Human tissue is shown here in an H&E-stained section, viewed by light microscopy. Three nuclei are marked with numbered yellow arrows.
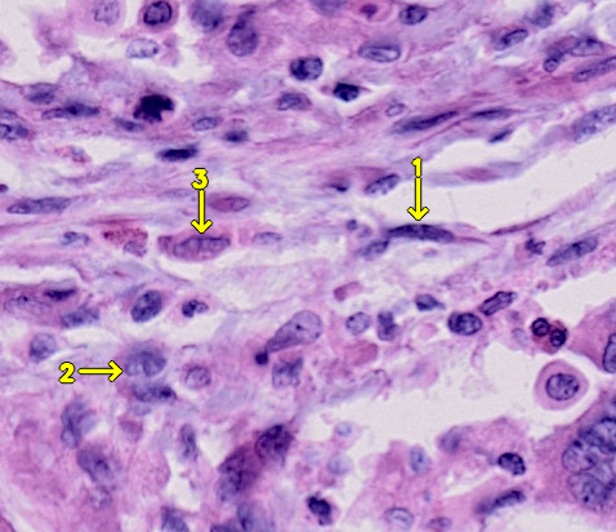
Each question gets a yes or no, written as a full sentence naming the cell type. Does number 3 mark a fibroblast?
No, the cell carrying number 3 is a macrophage or monocyte, not a fibroblast.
